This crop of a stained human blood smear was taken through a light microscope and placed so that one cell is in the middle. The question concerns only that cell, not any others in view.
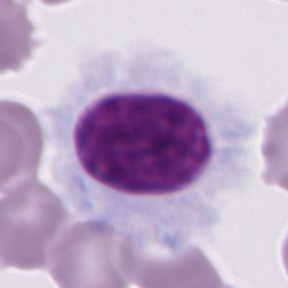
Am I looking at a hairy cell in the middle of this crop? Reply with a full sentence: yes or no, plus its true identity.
Yes, a hairy cell is present in the middle of the crop.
